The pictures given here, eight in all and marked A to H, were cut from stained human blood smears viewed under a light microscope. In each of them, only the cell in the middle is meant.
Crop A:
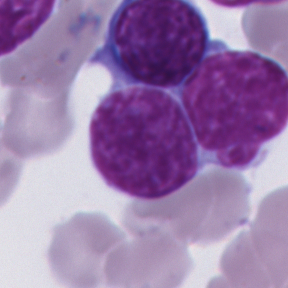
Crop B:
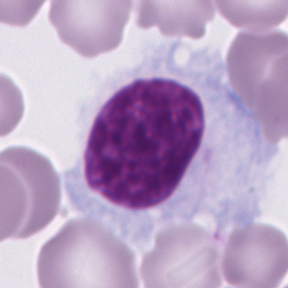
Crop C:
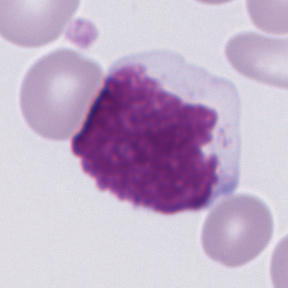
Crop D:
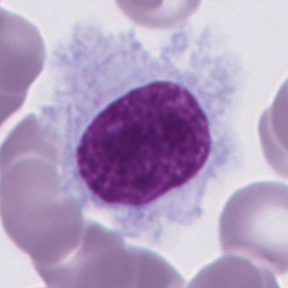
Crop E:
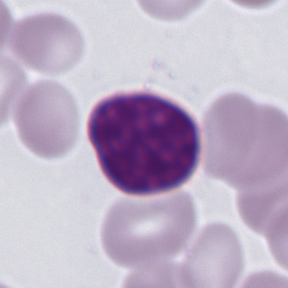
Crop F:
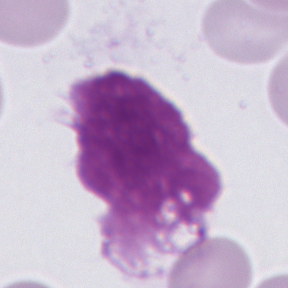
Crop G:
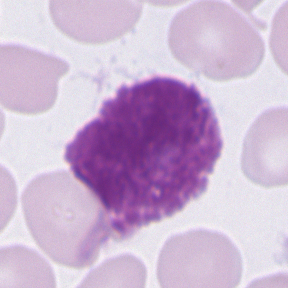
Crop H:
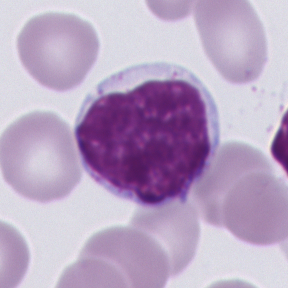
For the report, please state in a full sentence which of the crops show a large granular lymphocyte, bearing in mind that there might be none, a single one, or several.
The cells at the centre of the crops labelled C and H are large granular lymphocytes.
